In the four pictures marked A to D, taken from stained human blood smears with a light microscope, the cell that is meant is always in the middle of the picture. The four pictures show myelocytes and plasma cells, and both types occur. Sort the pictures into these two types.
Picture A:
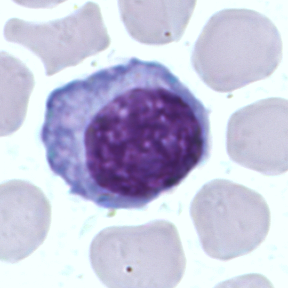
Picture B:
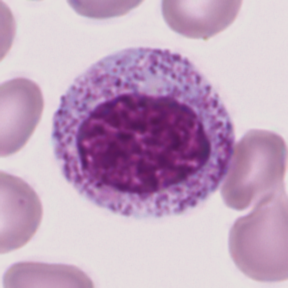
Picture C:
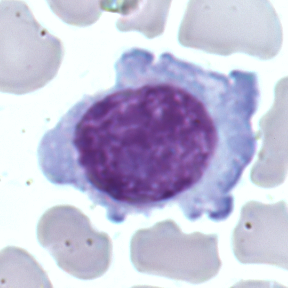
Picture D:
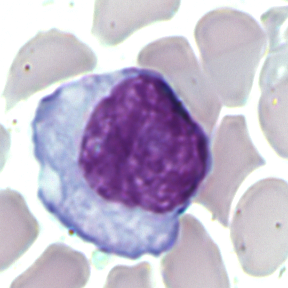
A: plasma cell
B: myelocyte
C: plasma cell
D: plasma cell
